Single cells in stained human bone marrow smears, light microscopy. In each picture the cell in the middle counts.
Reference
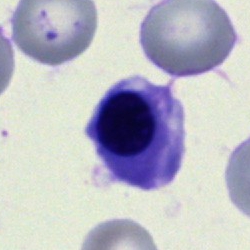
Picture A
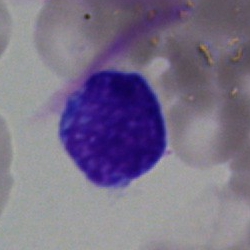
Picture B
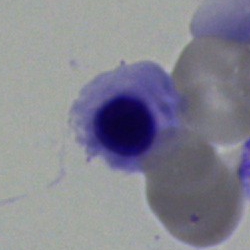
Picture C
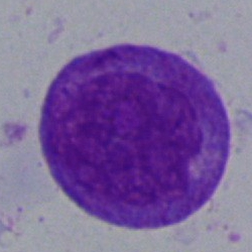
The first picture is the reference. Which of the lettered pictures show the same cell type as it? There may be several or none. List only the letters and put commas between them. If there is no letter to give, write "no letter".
B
